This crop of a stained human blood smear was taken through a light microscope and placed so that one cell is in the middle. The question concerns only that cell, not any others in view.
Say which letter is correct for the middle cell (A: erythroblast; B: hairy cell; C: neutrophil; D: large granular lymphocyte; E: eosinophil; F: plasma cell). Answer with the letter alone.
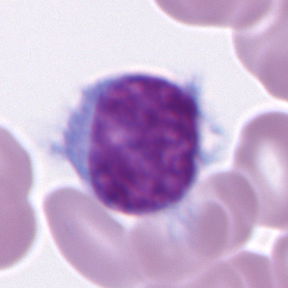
B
